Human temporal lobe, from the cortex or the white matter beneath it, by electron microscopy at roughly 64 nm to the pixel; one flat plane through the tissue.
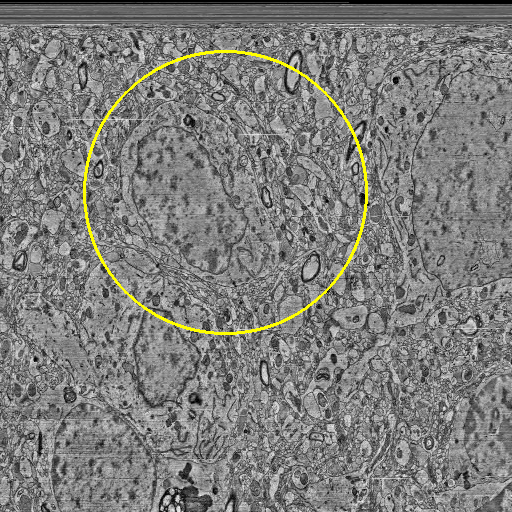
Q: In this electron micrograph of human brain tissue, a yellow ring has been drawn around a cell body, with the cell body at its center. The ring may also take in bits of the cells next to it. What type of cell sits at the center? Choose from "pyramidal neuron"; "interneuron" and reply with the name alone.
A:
interneuron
